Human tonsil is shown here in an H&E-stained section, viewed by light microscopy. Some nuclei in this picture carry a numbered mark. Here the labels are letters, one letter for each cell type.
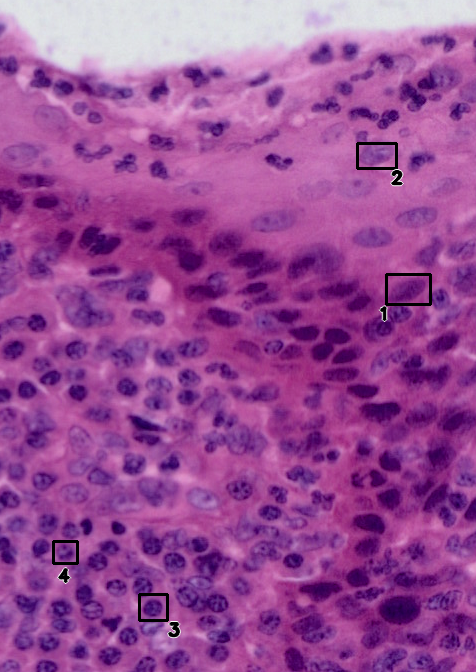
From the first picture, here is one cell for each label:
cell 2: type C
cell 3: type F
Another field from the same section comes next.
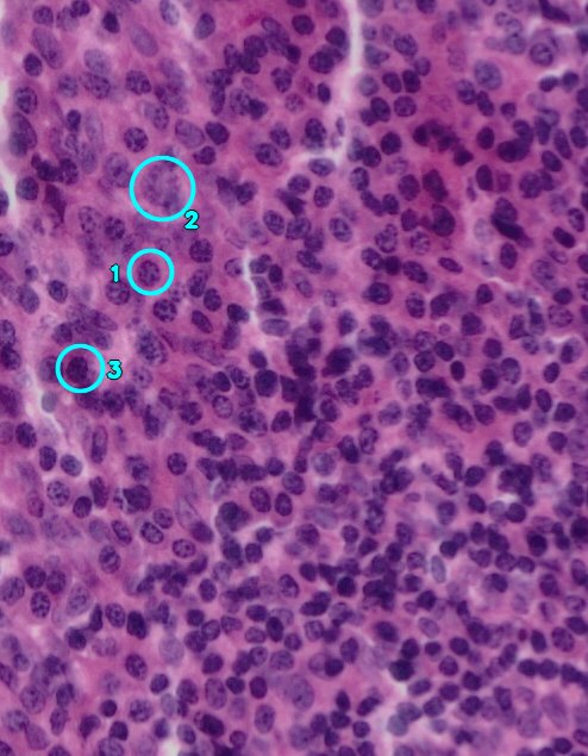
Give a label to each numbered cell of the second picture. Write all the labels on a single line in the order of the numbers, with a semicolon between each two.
type F; type C; type C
